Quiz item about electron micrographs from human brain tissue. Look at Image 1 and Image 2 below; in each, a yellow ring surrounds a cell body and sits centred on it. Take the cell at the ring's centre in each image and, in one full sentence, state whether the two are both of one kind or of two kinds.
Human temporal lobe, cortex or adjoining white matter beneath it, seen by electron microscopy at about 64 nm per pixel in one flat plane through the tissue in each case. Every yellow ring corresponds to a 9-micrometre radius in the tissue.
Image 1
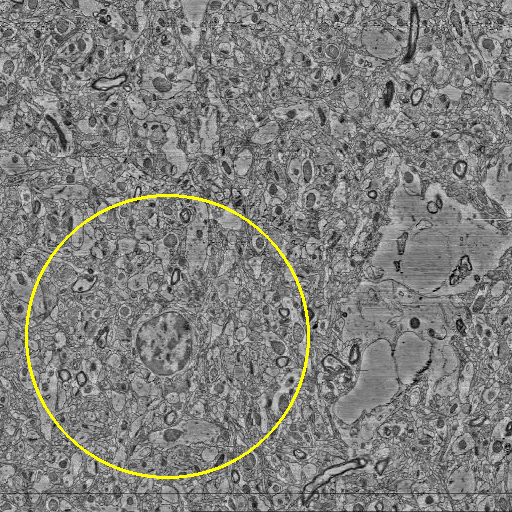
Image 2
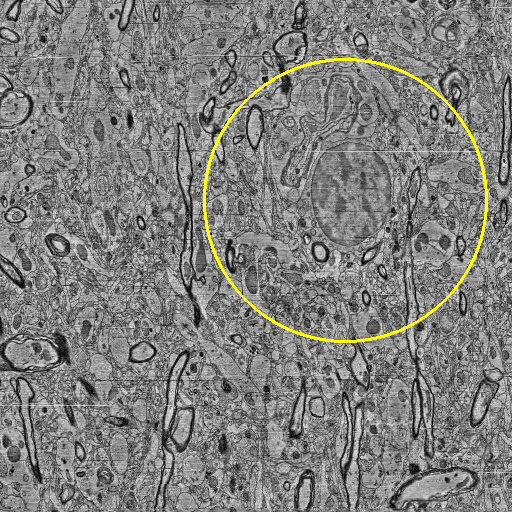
In Image 1 and Image 2, the cells at the ring centres are of two kinds.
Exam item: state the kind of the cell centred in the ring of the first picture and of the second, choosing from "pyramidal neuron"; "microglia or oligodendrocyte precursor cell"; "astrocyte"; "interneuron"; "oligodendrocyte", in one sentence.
The first picture shows a microglial cell or oligodendrocyte precursor cell at the ring centre and the second shows an oligodendrocyte.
